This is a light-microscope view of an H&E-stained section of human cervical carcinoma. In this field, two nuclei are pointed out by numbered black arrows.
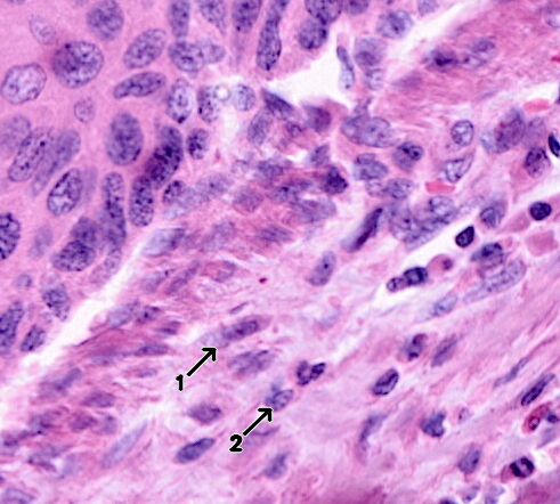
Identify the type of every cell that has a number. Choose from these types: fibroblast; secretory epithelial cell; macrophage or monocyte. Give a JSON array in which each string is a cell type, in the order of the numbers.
["fibroblast", "macrophage or monocyte"]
